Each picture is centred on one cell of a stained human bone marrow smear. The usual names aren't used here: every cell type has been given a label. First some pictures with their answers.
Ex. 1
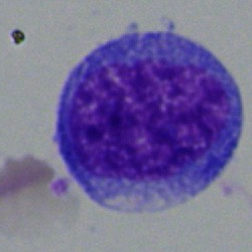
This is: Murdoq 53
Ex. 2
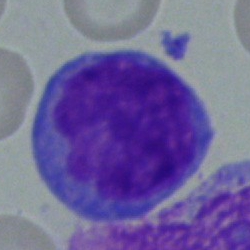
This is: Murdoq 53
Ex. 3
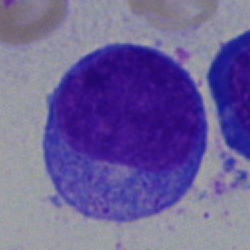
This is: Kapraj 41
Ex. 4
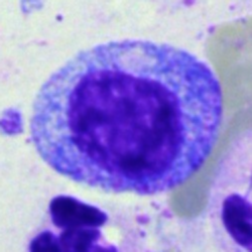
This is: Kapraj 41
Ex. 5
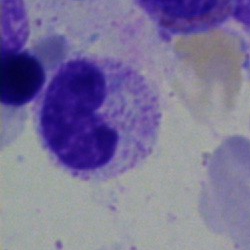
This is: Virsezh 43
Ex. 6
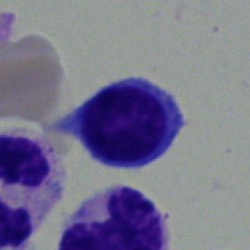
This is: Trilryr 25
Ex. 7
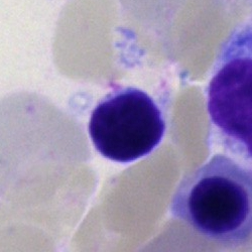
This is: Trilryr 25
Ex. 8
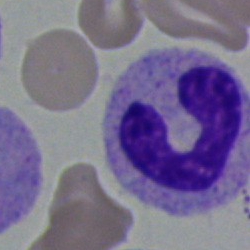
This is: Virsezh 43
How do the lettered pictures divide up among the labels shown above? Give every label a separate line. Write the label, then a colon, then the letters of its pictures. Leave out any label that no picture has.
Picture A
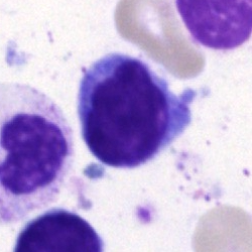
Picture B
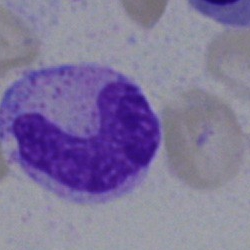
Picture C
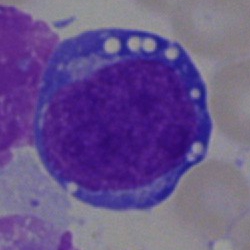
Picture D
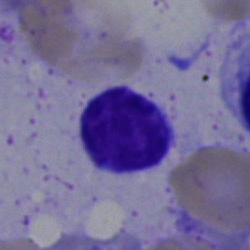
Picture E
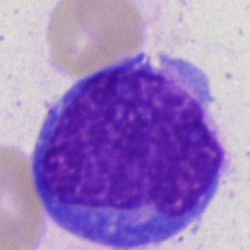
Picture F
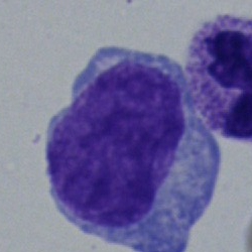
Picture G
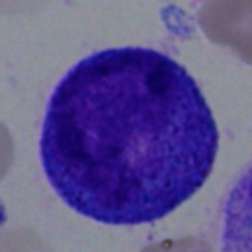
Murdoq 53: C, E, F
Kapraj 41: G
Virsezh 43: B
Trilryr 25: A, D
